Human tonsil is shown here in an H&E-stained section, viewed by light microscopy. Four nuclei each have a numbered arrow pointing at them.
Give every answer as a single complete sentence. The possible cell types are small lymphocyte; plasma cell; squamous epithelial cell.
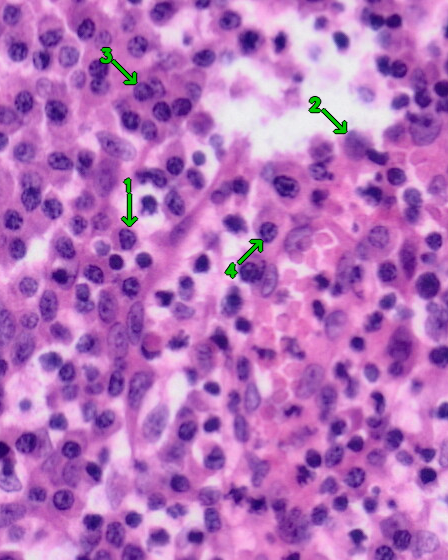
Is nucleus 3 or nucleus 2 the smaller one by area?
With nucleus 2 about 1.5 times its size, nucleus 3 is the smaller of the two.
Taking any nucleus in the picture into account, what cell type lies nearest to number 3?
The cell nearest to number 3 is a plasma cell.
